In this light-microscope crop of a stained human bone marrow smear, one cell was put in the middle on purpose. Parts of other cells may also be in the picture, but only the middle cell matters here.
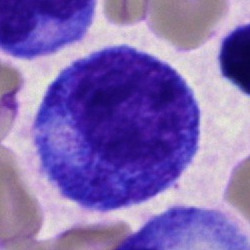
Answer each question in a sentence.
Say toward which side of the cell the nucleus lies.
Toward the upper right of the cell lies its nucleus.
